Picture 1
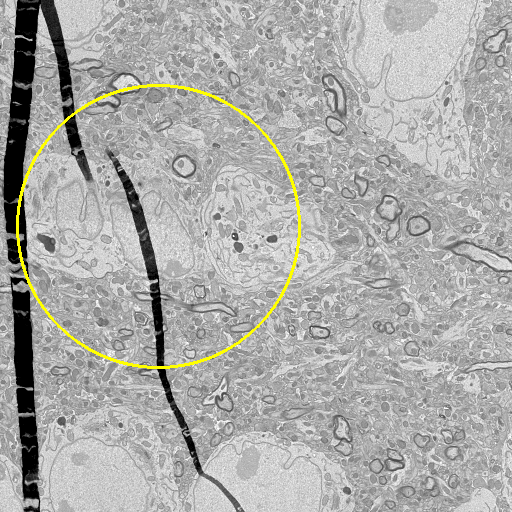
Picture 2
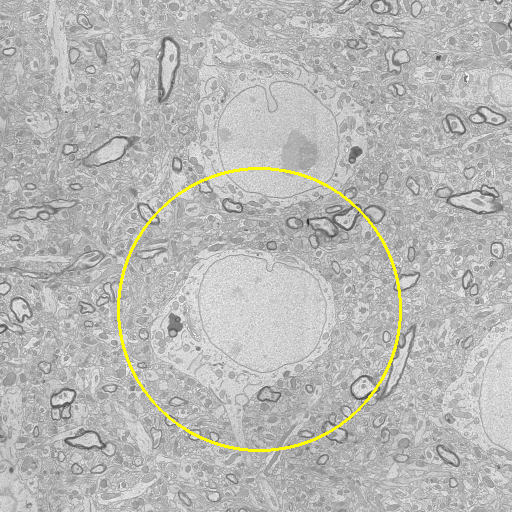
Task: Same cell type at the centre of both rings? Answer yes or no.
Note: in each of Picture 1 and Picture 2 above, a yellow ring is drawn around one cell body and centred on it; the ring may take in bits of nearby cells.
no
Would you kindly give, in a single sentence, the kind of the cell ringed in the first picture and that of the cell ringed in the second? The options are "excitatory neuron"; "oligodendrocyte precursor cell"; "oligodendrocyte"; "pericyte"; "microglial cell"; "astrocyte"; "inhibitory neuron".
The second cell is an excitatory neuron, and the first cell is an oligodendrocyte precursor cell.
